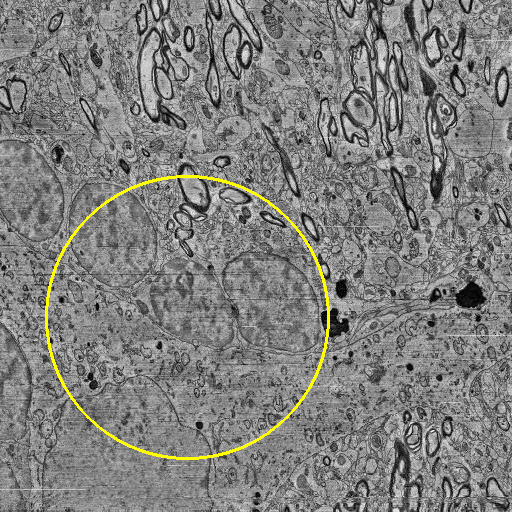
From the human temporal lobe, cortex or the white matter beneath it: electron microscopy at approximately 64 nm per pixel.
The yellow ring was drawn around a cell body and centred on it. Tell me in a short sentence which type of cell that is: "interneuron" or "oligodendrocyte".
The cell at the ring's centre is an oligodendrocyte.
